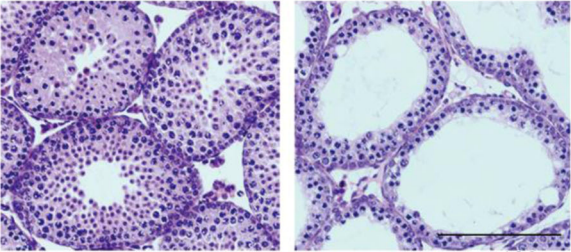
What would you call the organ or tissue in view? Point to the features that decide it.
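Round tubule cross-sections lined by layered epithelium. Thin interstitial tissue lies between the tubules. On this evidence: testis.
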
